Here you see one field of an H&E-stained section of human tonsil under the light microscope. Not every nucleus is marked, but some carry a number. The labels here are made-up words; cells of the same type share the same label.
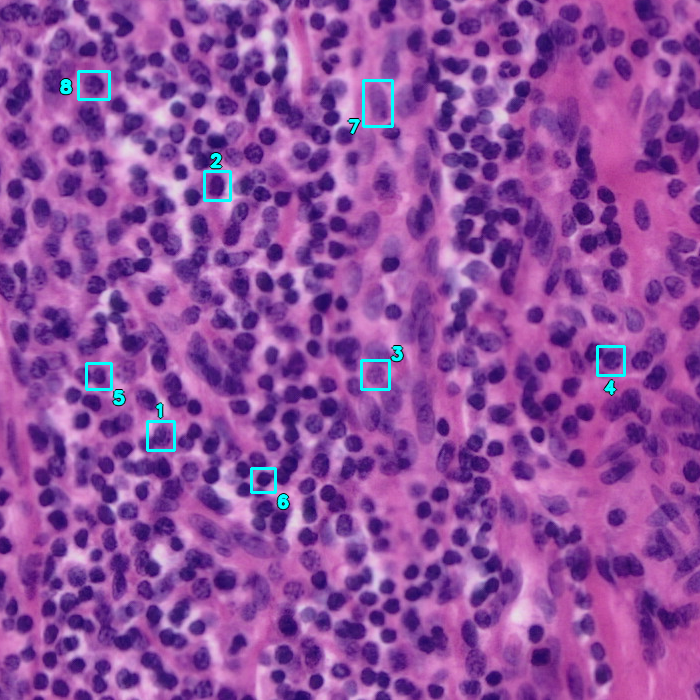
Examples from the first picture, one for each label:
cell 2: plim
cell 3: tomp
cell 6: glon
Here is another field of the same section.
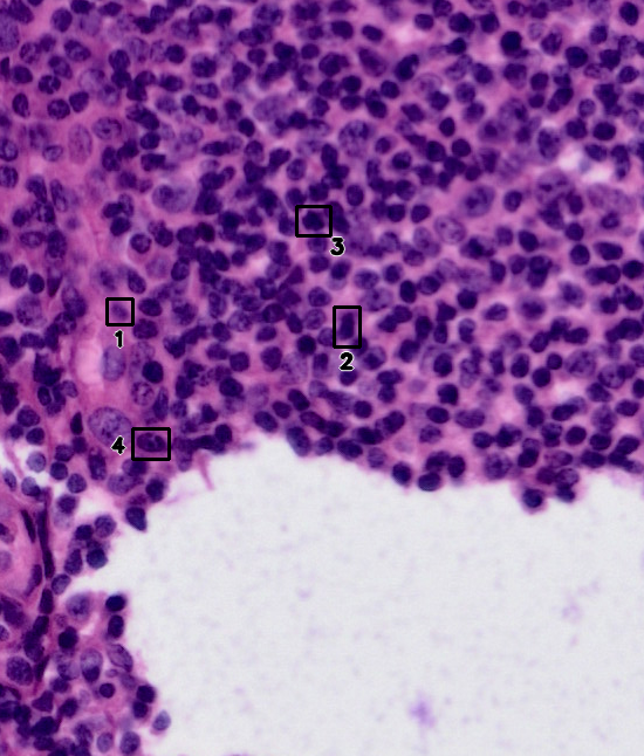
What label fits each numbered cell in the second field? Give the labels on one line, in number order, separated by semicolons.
tomp; glon; glon; plim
